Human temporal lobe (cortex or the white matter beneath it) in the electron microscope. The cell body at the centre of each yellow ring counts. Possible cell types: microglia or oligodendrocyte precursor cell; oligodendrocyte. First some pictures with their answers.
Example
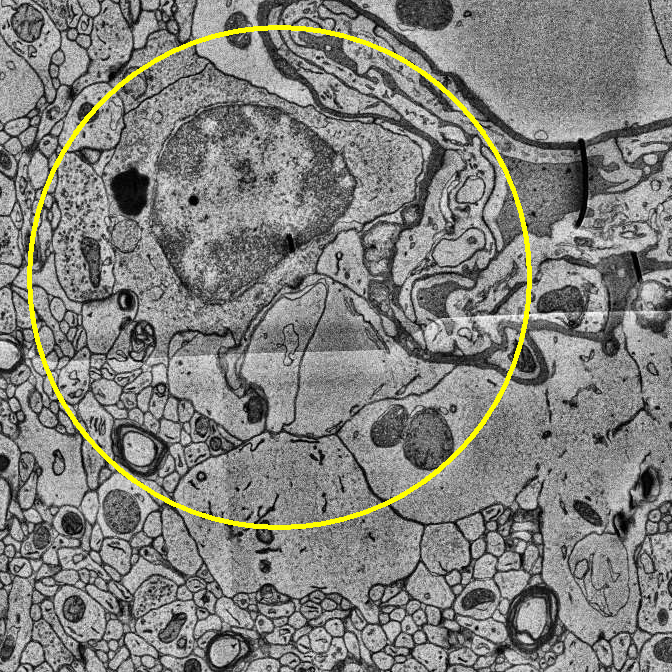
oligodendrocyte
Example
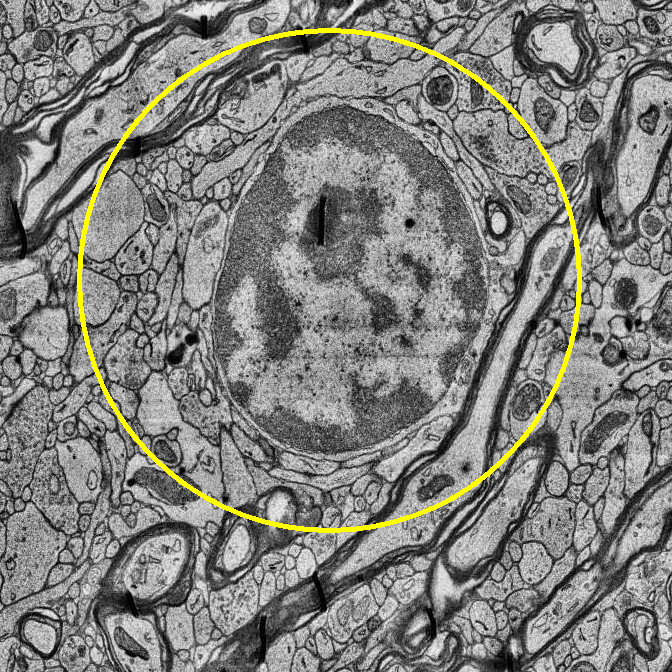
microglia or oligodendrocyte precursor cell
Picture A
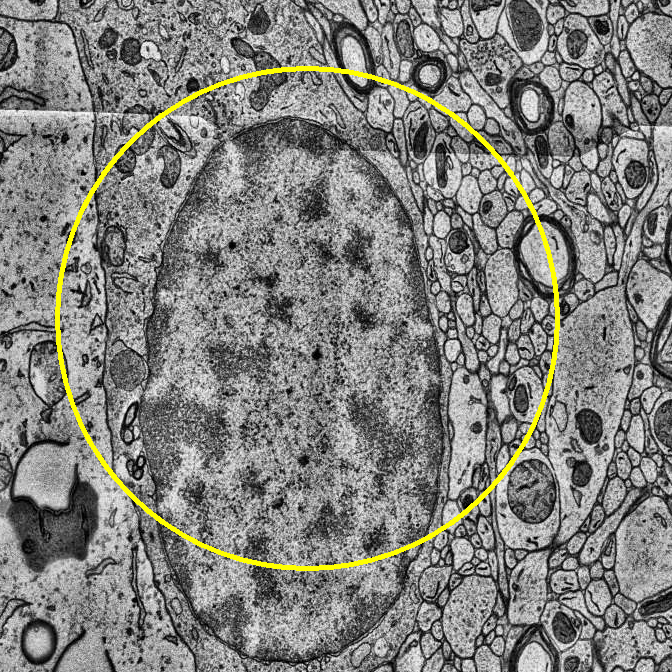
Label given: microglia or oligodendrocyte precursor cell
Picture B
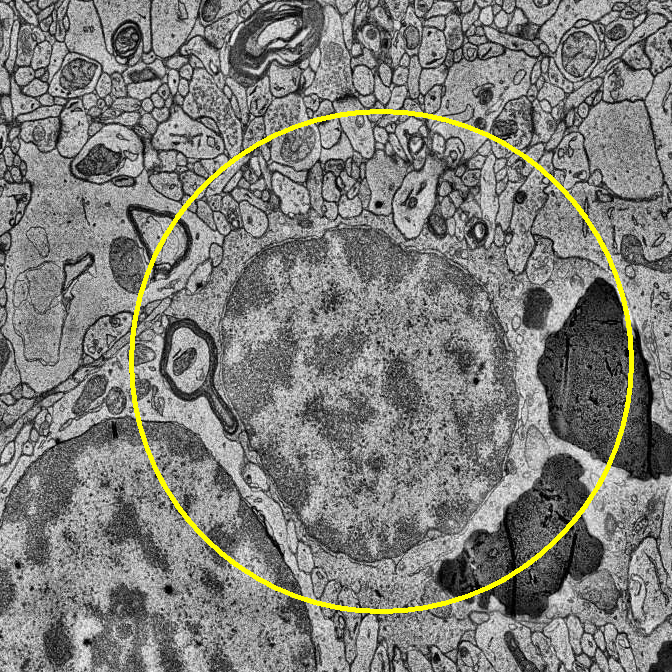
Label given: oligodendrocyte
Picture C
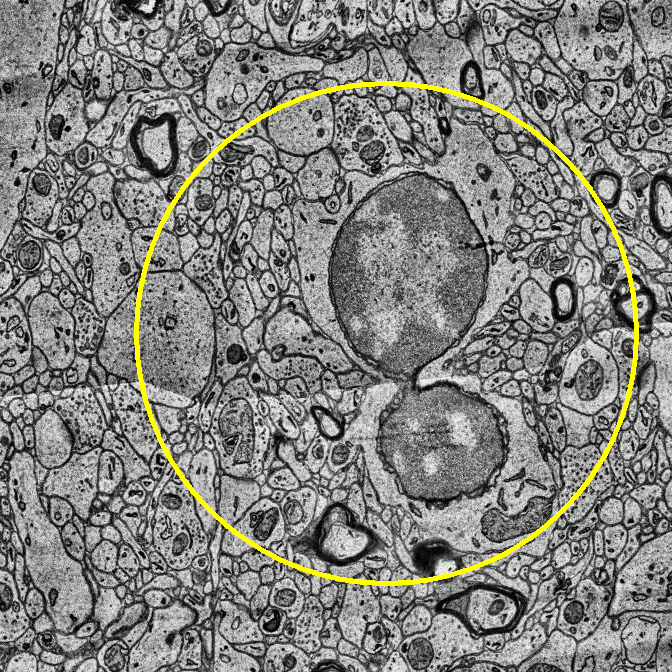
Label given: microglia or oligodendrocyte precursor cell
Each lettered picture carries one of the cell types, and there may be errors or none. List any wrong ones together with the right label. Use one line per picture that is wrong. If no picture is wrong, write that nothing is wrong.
A: change microglia or oligodendrocyte precursor cell to oligodendrocyte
